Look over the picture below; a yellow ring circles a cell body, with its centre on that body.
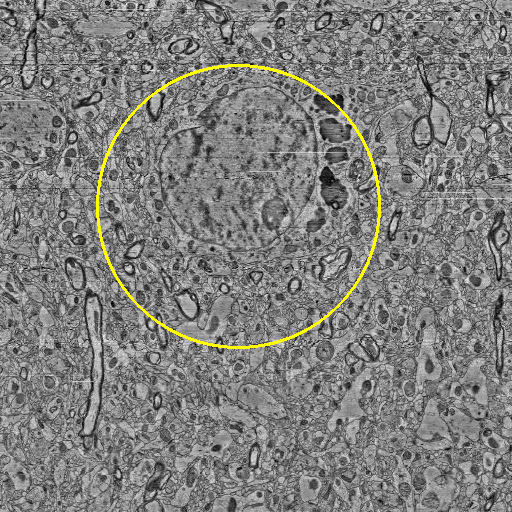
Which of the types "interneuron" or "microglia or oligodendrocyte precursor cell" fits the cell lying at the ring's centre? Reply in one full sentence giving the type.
The picture shows an interneuron at the centre of the yellow ring.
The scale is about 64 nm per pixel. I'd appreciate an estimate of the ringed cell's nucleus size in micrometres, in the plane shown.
Roughly 11 micrometres across for the nucleus, in this plane.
